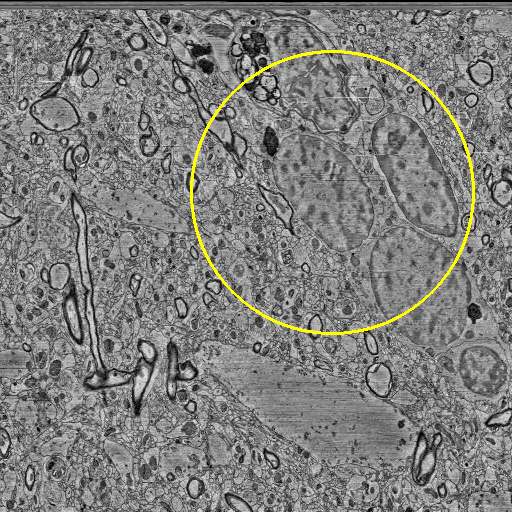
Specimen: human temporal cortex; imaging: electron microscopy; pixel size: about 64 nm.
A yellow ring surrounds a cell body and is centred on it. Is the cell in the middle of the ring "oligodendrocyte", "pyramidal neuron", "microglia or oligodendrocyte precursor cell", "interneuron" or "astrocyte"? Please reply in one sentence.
The ring is centred on an oligodendrocyte.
